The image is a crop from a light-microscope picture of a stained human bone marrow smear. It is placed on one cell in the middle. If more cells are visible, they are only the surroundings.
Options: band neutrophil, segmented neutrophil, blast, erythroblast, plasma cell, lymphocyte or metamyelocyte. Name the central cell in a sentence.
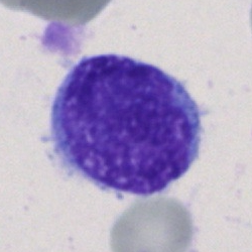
Standing at the centre of this crop is a blast.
